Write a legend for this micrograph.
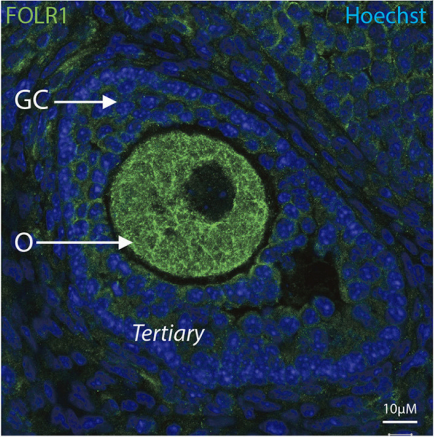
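An ovarian follicle is shown with a large oocyte at its centre, surrounded by many layers of granulosa cells. The oocyte is round and much larger than any other cell; its cytoplasm is filled with a fine green network, and its nucleus appears as a dark, rounded area lacking green. A thin dark rim separates the oocyte from the surrounding cells. The granulosa cells are small, tightly packed and stratified, with round blue nuclei and scant, faint cytoplasm. A small irregular dark space lies among the granulosa layers beside the oocyte.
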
